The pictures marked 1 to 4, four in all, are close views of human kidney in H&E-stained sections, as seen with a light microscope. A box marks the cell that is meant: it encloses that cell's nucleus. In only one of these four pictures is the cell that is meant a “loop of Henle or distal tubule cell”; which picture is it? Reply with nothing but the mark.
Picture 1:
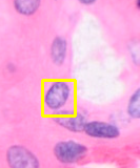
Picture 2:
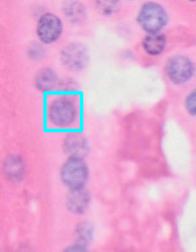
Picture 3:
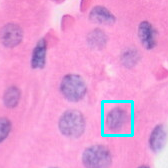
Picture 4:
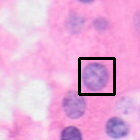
3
